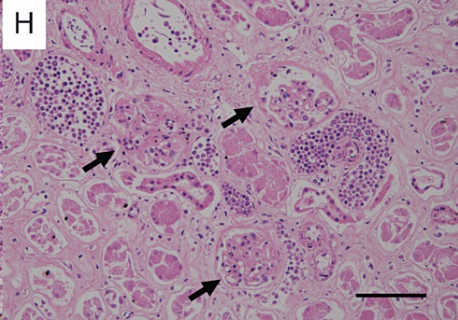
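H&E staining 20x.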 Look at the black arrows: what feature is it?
Renal glomeruli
